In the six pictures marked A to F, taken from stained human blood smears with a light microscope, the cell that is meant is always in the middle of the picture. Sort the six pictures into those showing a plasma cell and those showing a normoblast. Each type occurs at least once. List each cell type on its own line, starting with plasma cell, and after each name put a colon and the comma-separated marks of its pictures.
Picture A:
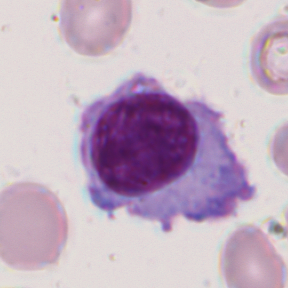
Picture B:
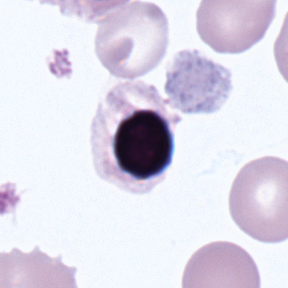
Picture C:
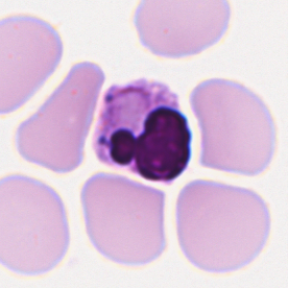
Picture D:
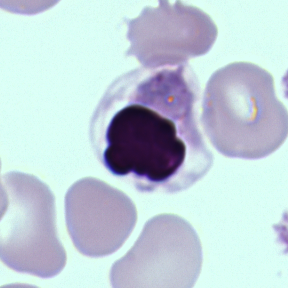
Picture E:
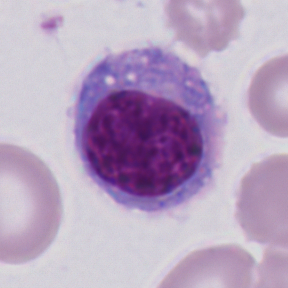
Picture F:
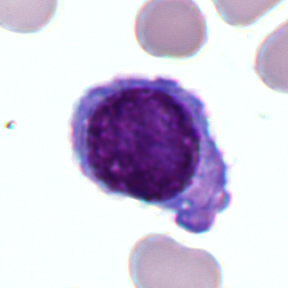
plasma cell: A, E, F
normoblast: B, C, D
